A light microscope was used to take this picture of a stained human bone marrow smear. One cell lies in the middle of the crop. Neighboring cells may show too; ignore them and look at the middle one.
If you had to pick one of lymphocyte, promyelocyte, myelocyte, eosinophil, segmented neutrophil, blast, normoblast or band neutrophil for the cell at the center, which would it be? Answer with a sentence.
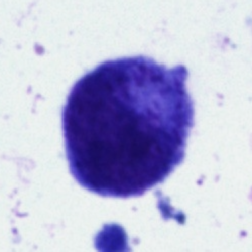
In the centre of this crop there is a promyelocyte.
